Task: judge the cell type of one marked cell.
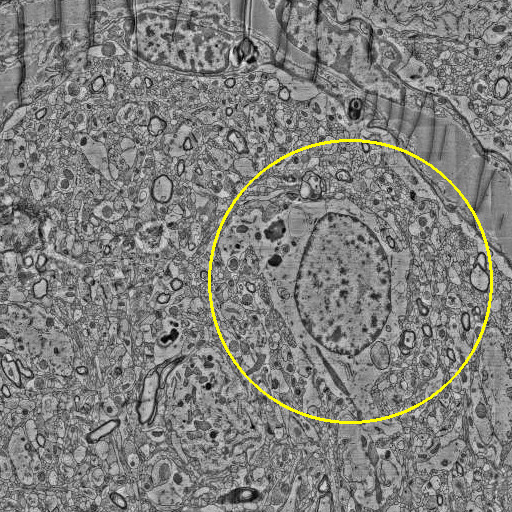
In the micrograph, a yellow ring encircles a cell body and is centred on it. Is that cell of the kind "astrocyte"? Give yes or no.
yes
